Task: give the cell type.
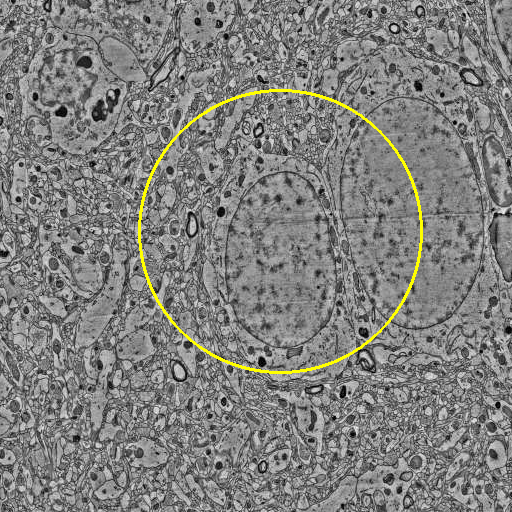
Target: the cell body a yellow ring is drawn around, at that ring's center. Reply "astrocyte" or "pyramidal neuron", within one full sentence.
In this picture, the cell whose body lies at the ring's center is a pyramidal neuron.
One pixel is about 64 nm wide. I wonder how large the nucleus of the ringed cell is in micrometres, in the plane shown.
Roughly 11 micrometres by 7 micrometres, so the nucleus is clearly longer than it is wide in this plane.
